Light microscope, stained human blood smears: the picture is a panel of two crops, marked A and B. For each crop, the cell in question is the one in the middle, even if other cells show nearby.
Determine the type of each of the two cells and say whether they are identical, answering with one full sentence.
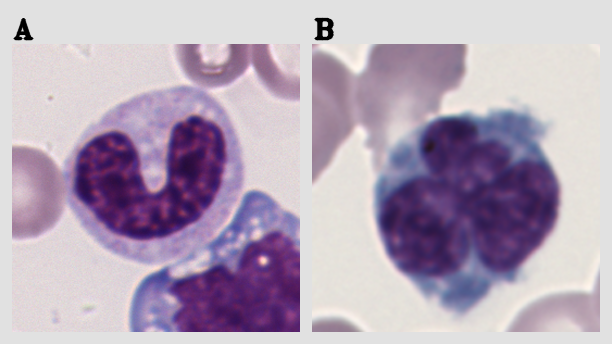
No, crop A displays a band neutrophil and crop B displays a monocyte.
